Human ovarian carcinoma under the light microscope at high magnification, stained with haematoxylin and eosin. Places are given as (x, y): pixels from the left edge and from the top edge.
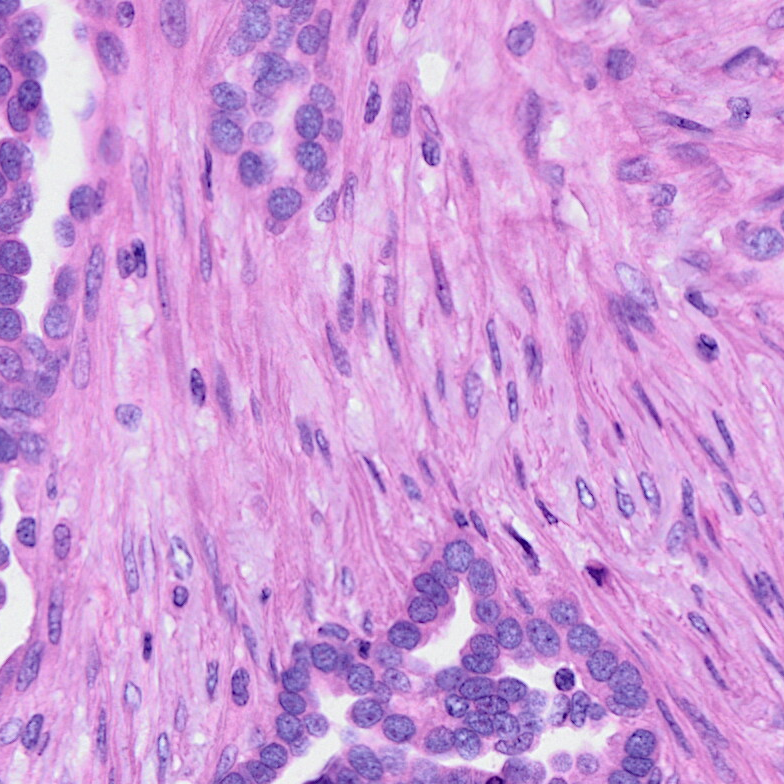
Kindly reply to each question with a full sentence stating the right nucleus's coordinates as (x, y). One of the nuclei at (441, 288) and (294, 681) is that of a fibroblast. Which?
At (441, 288) lies the nucleus that belongs to a fibroblast.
